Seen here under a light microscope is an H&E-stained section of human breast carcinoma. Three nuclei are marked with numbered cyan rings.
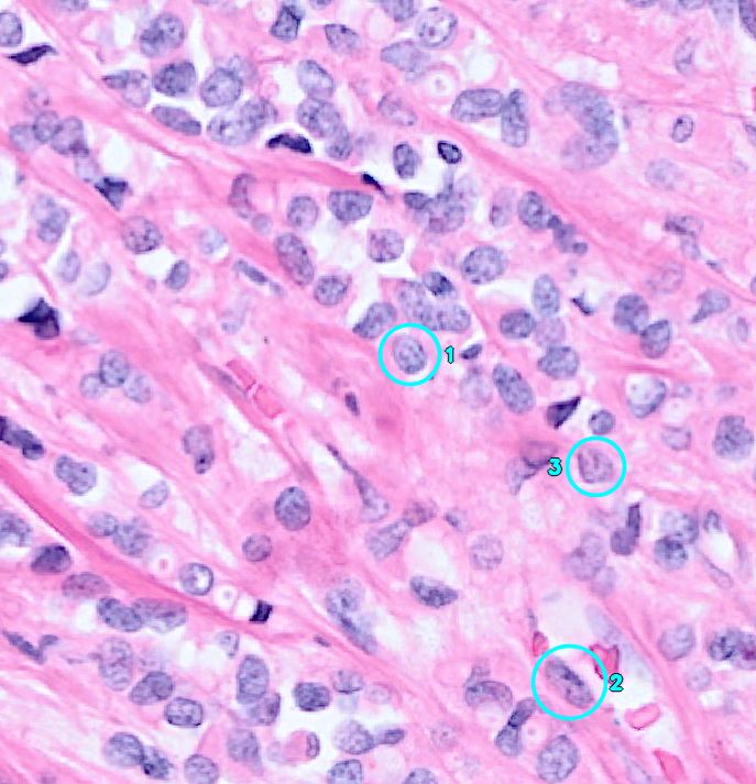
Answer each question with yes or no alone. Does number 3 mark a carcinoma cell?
yes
